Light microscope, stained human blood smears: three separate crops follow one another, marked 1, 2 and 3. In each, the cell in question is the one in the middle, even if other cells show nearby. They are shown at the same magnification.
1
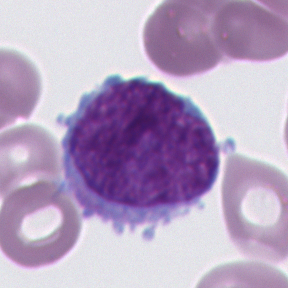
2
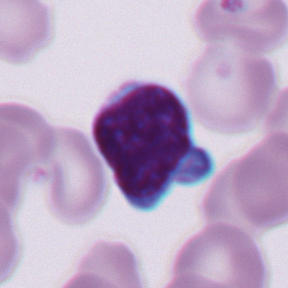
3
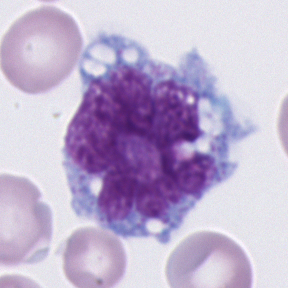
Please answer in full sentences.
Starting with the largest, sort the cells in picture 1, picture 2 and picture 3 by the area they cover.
The order is 3, 1, 2, beginning with the largest.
